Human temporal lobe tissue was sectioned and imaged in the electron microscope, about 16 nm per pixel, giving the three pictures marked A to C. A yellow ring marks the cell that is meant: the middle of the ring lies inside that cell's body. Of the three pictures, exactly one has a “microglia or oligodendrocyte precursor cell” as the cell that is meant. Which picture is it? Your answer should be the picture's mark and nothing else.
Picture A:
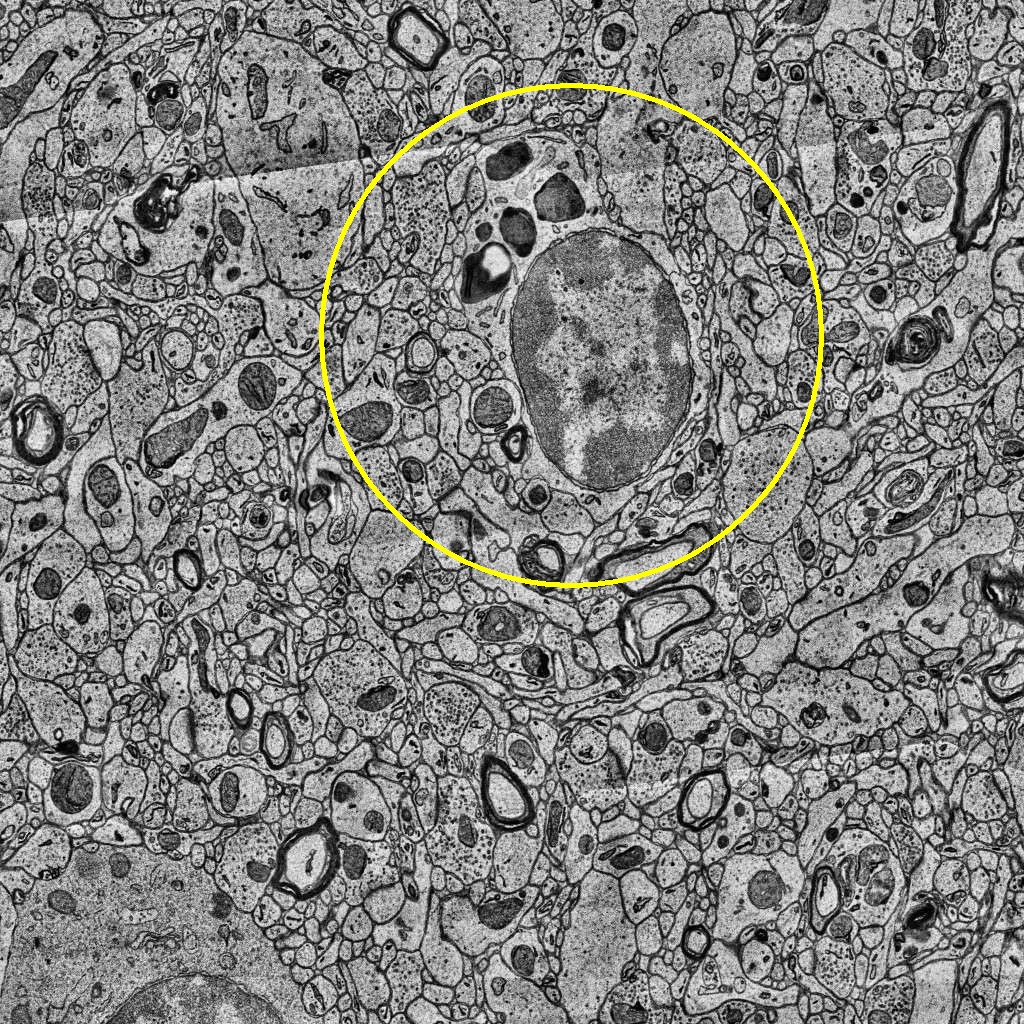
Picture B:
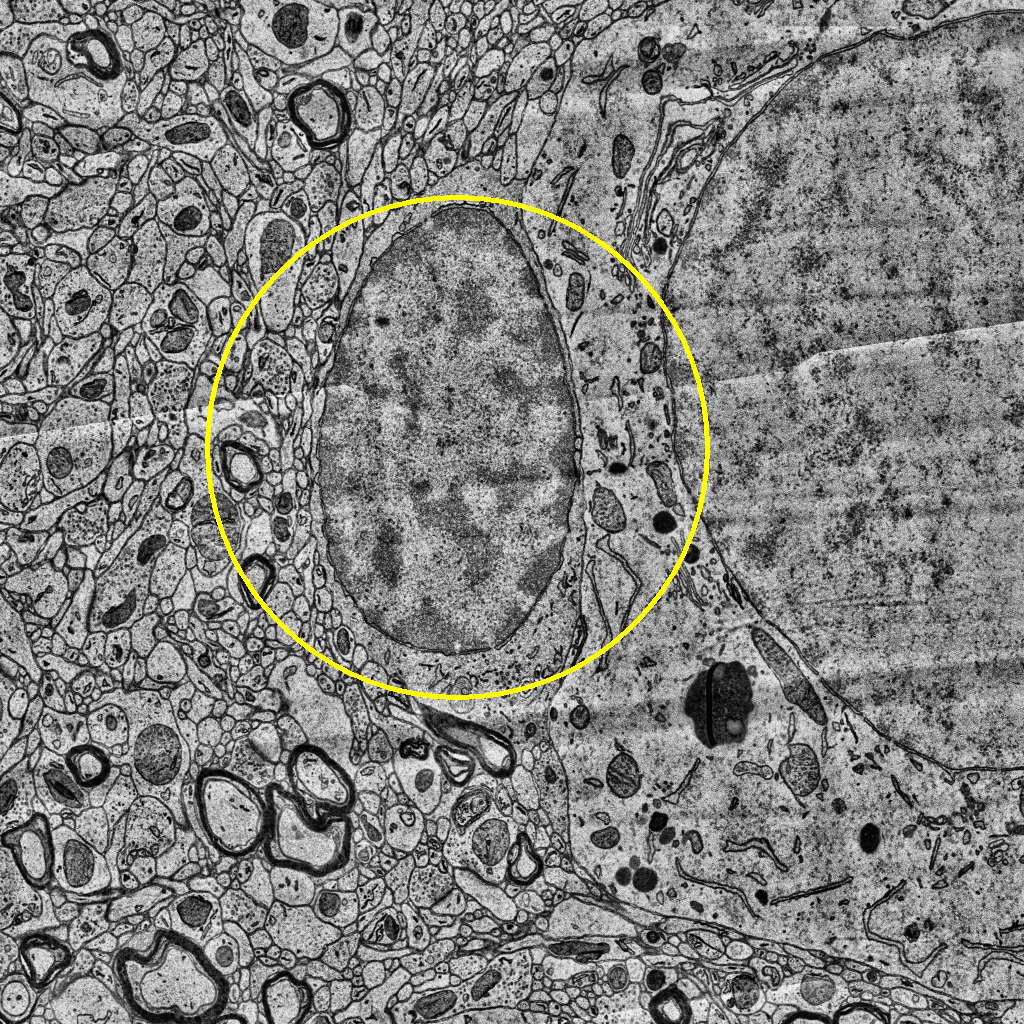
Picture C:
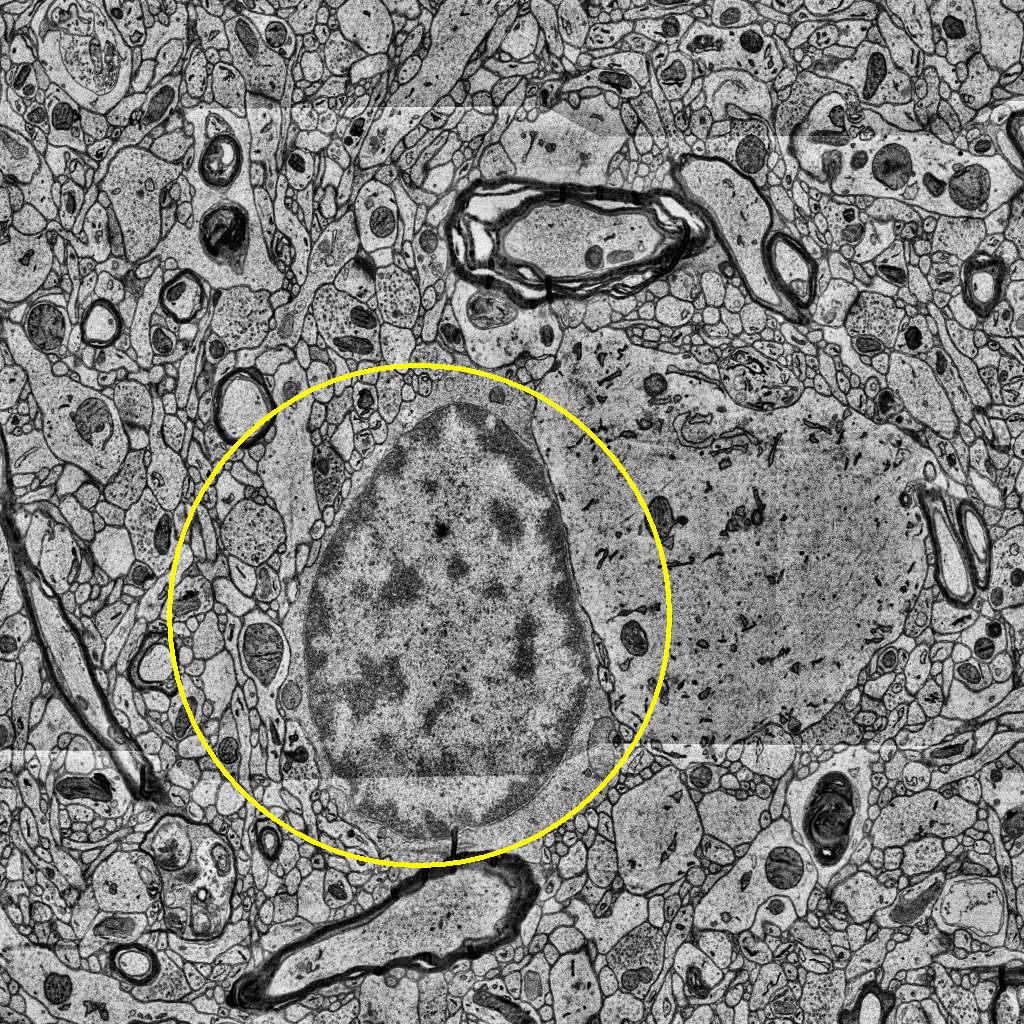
A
